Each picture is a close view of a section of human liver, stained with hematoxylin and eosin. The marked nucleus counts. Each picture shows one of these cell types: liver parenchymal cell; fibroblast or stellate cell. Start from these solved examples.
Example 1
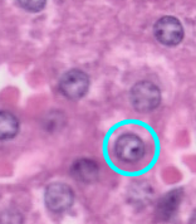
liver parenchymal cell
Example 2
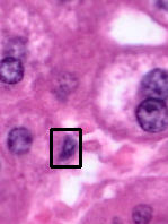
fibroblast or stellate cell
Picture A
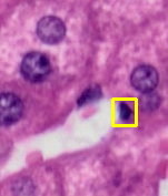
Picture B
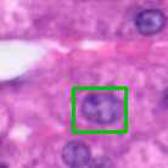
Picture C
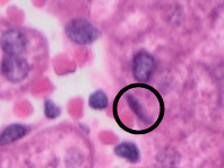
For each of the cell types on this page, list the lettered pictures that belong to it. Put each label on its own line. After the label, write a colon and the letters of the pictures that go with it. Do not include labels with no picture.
liver parenchymal cell: B
fibroblast or stellate cell: A, C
